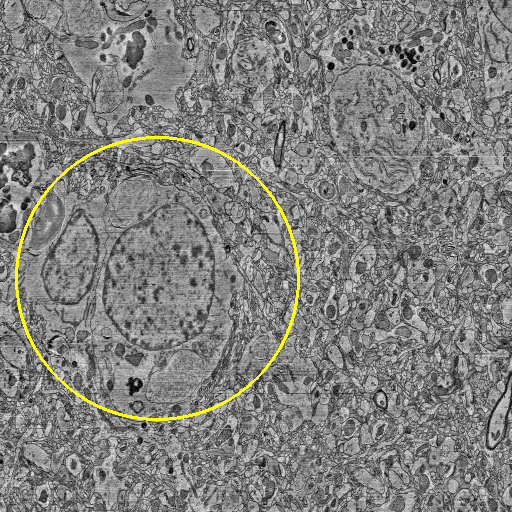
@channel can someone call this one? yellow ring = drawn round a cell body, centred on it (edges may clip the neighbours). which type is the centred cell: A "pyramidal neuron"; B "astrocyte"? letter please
B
